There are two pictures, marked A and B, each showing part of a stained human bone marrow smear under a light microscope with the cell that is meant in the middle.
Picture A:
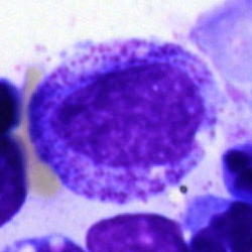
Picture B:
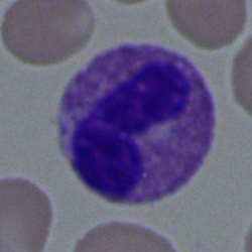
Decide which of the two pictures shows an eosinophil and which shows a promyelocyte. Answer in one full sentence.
The cell in picture A is a promyelocyte, and the one in picture B is an eosinophil.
